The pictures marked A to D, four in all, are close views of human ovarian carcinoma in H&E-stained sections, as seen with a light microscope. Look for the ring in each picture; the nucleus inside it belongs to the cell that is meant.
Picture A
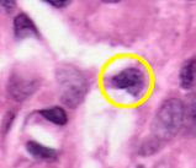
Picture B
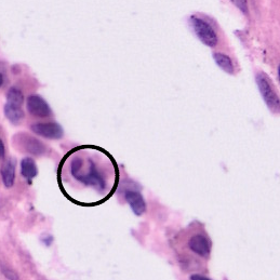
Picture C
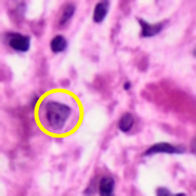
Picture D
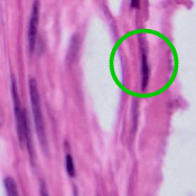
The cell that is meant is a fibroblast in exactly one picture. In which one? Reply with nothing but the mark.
D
